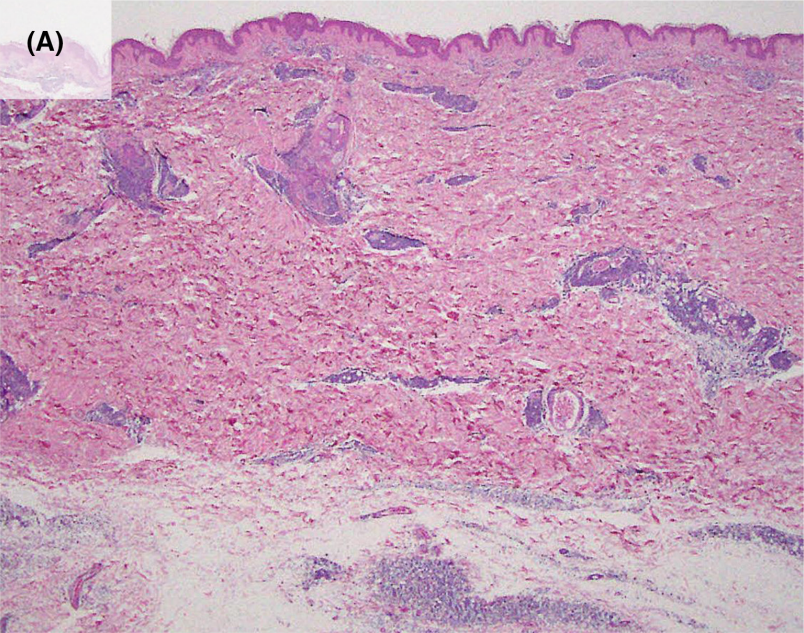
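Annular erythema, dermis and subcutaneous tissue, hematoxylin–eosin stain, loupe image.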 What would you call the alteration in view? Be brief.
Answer: A monotonous dense infiltration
